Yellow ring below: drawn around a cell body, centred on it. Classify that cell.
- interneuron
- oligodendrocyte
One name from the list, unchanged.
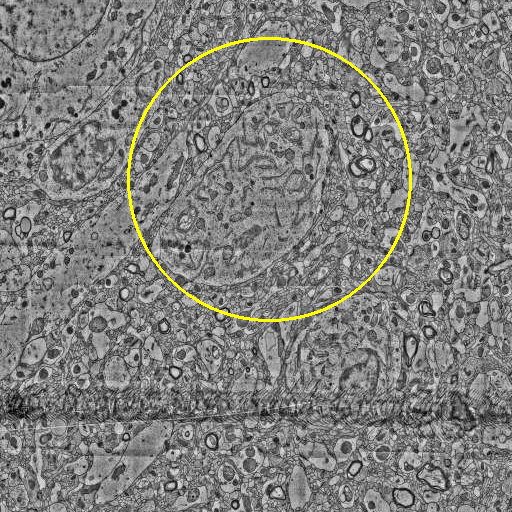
interneuron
